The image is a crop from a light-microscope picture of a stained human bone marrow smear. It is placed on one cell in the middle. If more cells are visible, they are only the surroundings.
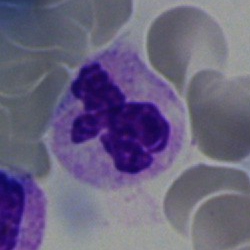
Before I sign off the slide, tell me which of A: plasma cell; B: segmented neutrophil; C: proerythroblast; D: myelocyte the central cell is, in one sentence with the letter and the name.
The cell in the middle is correctly identified as a segmented neutrophil in option B.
